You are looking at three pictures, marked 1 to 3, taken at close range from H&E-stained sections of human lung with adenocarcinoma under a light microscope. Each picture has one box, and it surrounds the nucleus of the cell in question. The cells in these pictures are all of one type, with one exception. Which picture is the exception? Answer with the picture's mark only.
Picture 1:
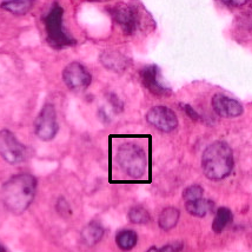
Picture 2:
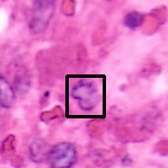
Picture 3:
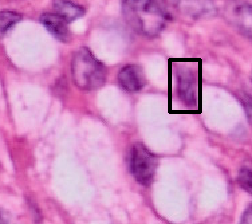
3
